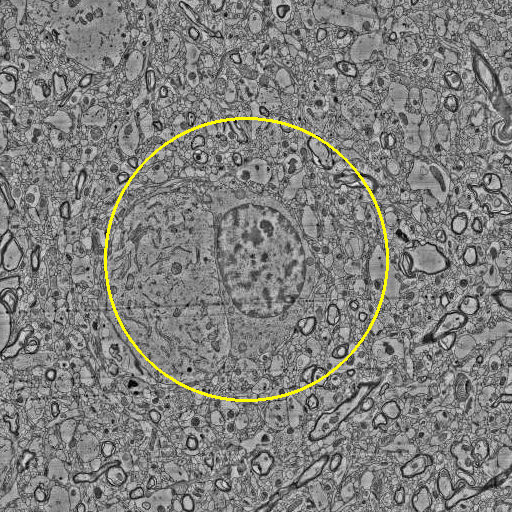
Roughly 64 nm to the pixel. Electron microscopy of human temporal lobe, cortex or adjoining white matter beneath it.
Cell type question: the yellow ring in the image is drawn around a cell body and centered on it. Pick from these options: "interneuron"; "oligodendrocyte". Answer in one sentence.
The ringed cell at the center is an oligodendrocyte.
